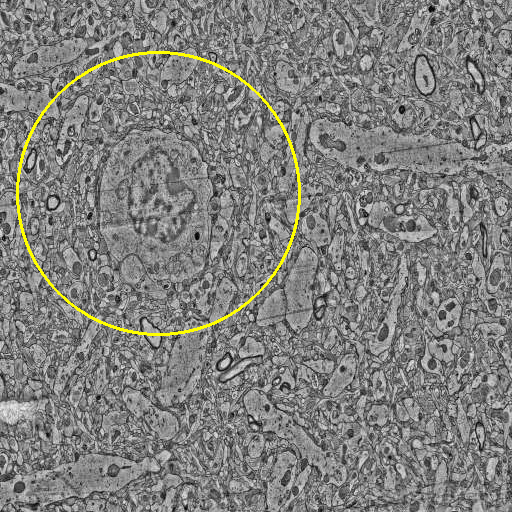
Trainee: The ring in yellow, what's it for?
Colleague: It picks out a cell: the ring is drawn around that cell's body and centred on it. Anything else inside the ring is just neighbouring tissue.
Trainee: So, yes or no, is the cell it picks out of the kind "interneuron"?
yes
